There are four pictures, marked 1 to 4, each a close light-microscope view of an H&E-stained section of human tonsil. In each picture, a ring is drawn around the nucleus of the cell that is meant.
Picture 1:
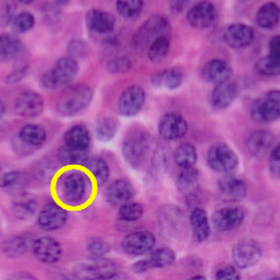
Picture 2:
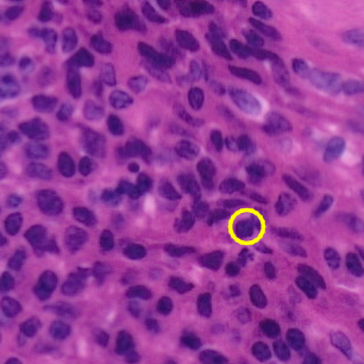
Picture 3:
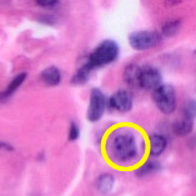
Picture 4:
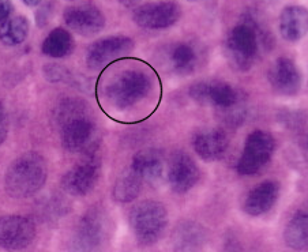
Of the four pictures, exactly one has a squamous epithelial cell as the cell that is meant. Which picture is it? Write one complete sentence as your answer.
The picture with the squamous epithelial cell is 4.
